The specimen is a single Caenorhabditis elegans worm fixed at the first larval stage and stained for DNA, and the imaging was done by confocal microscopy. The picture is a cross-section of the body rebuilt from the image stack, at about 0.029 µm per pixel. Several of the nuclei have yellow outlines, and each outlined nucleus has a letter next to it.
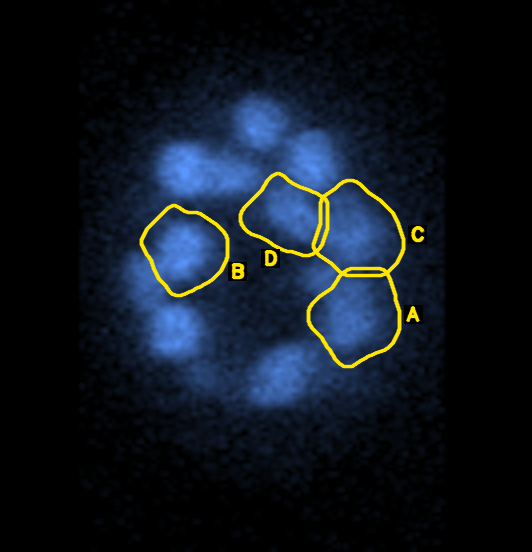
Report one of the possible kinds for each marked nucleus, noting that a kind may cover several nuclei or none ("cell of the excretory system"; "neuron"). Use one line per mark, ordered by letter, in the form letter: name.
A: neuron
B: neuron
C: neuron
D: cell of the excretory system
